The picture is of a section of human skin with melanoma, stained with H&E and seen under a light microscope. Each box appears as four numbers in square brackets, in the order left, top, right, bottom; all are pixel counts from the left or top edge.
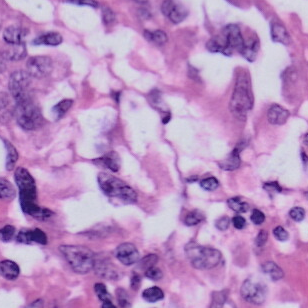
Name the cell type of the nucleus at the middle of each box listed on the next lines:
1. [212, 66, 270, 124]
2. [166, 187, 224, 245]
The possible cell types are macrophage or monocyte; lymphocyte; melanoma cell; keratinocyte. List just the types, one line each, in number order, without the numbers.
melanoma cell
macrophage or monocyte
